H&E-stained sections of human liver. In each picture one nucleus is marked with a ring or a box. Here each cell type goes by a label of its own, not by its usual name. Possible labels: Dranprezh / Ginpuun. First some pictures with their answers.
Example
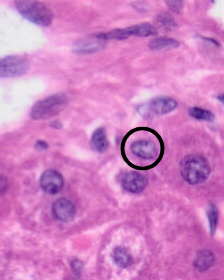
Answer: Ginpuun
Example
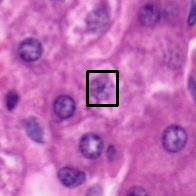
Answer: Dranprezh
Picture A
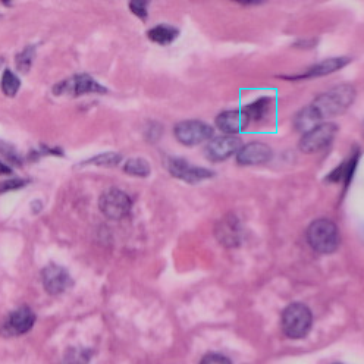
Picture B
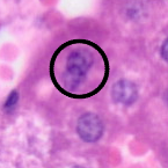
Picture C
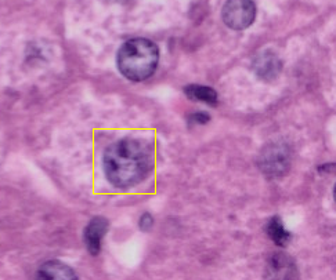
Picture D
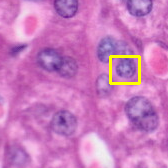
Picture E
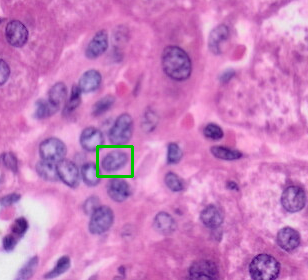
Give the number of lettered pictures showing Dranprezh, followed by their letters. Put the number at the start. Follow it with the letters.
Count: 2 (B, C)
